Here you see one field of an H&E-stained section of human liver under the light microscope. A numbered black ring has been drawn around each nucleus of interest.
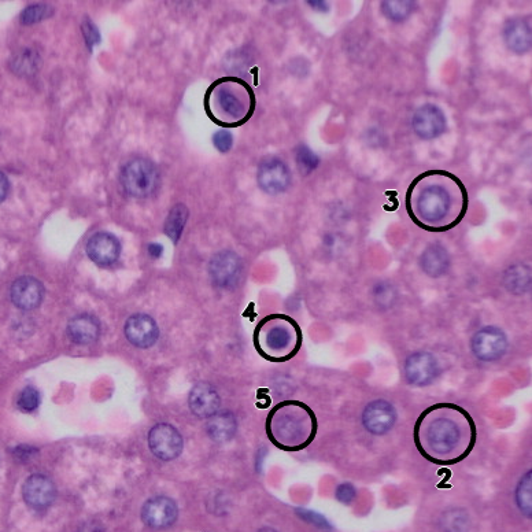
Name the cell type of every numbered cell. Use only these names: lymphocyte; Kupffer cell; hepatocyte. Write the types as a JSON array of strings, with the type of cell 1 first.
["Kupffer cell", "hepatocyte", "hepatocyte", "lymphocyte", "hepatocyte"]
